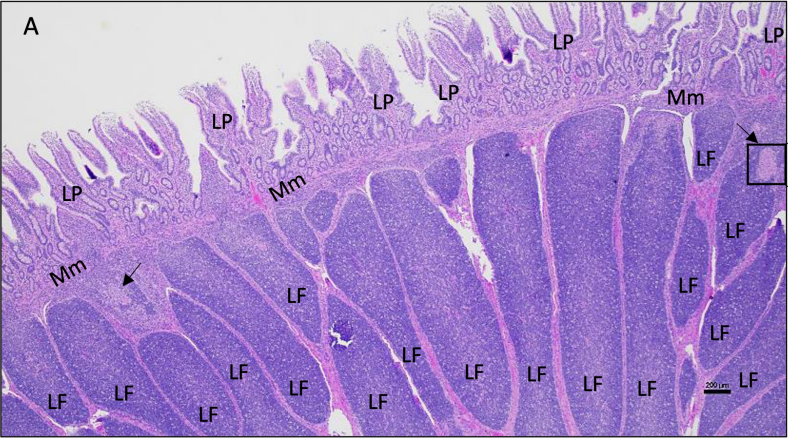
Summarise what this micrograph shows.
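The follicles are densely filled with small dark-nucleated lymphocytes and are separated from each other by thin pink connective tissue septa. Between follicles just beneath the muscle band lie small pale pink foci standing out against the dark purple lymphoid tissue.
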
